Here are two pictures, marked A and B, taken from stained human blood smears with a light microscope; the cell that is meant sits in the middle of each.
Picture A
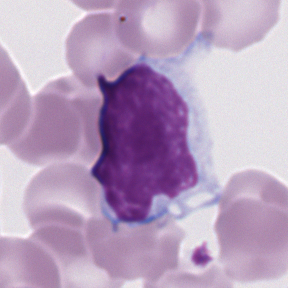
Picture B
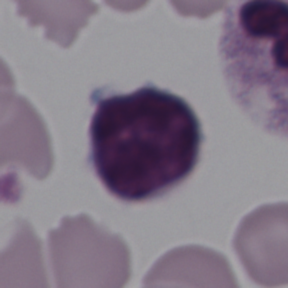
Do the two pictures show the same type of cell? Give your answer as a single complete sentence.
Yes, they are the same type: both are typical lymphocytes.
